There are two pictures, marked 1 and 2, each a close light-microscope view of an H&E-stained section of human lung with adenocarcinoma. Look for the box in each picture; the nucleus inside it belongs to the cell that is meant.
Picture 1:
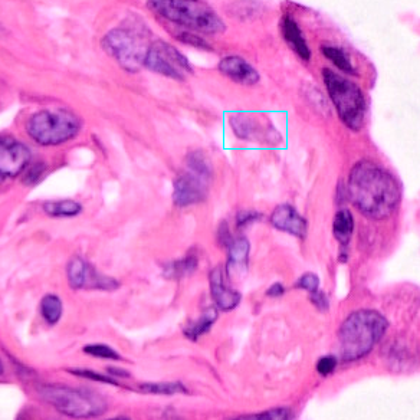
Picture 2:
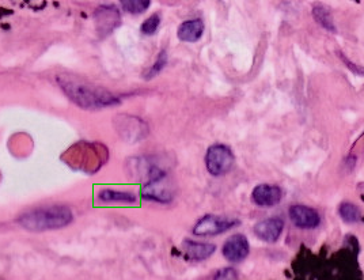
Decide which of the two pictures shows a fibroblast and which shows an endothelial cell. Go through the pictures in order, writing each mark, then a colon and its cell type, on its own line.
1: fibroblast
2: endothelial cell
